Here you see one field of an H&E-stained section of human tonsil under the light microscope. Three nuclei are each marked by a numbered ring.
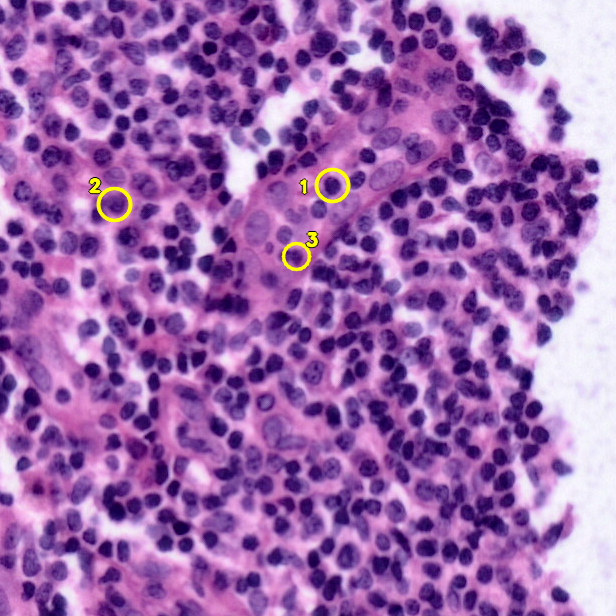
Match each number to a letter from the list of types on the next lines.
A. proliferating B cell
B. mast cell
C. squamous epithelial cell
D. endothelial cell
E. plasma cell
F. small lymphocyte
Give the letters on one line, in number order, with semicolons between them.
D; E; D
